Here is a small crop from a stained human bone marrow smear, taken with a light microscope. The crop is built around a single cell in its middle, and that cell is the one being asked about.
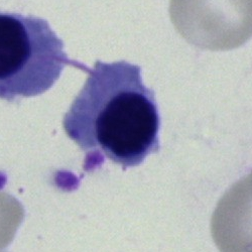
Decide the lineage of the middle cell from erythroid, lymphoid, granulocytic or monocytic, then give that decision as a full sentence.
From the erythroid lineage comes the cell in the middle of the crop.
